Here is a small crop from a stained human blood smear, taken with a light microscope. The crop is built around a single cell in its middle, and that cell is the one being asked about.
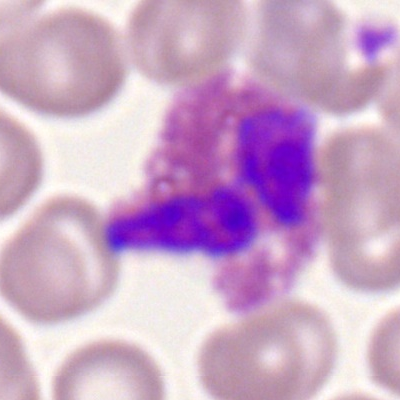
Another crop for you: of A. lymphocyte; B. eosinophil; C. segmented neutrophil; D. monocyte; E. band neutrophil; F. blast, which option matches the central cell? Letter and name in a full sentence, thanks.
In this crop the middle cell is an eosinophil, so option B is the correct answer.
